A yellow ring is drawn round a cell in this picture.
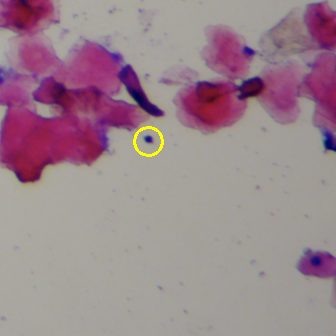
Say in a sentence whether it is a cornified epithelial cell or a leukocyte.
The cell in the ring is a leukocyte.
